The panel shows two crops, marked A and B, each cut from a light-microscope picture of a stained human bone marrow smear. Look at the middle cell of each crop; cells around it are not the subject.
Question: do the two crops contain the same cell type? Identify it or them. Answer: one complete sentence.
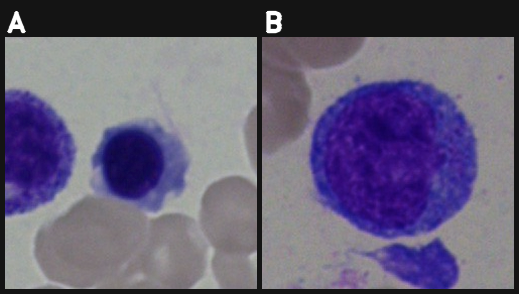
No, crop B shows a blast, and crop A shows an erythroblast.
